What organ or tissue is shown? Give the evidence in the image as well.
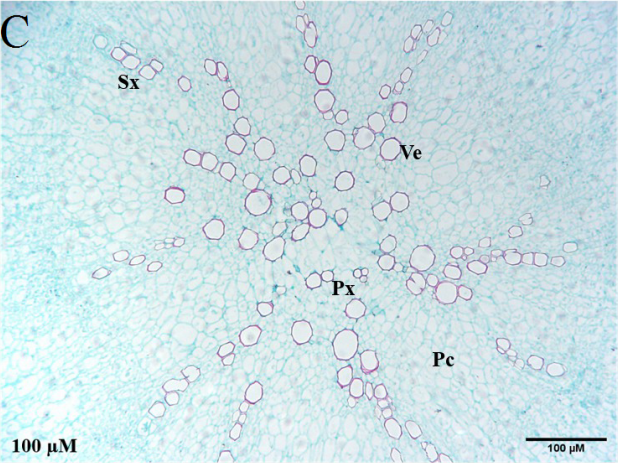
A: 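Rows of thick-walled, red-rimmed vessels radiate outward from a central point. Thin-walled parenchyma fills the space between the radiating rows. No pith occupies the centre; small xylem elements lie at the very middle.
Conclusion: root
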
